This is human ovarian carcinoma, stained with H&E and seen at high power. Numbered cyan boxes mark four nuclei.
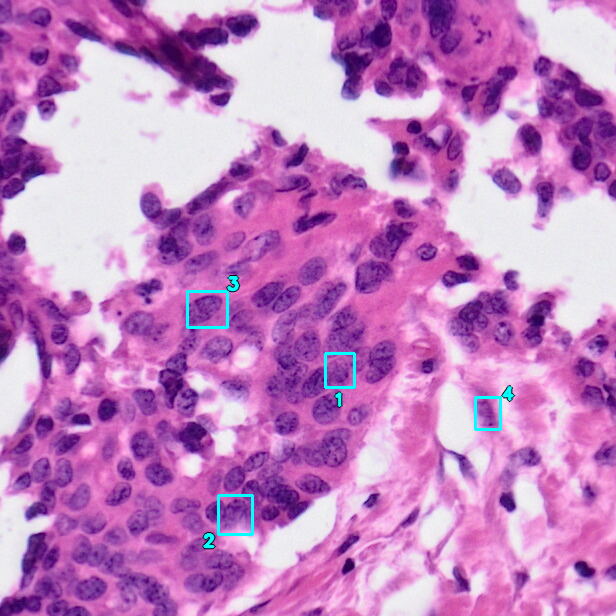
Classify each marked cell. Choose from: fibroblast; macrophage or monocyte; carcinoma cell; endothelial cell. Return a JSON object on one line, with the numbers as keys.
{"1": "carcinoma cell", "2": "carcinoma cell", "3": "carcinoma cell", "4": "fibroblast"}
